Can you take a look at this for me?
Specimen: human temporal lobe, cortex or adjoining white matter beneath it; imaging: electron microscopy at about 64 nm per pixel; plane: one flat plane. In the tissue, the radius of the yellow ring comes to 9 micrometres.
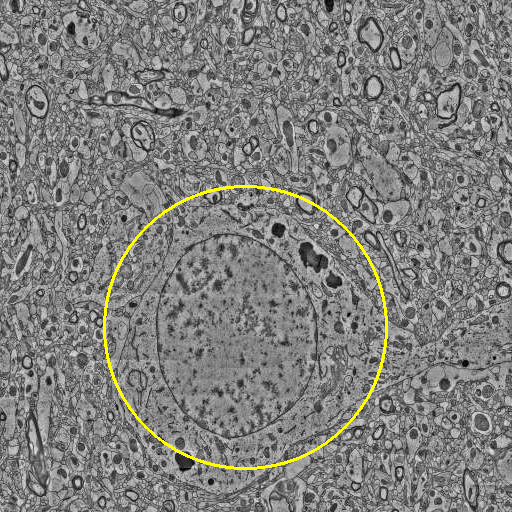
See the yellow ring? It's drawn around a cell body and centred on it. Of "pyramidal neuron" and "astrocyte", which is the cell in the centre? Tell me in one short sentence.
The one in the centre is a pyramidal neuron.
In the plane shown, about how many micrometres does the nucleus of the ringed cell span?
Approximately 13 x 10 micrometres in this plane.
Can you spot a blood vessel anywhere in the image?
No, the picture includes no blood vessel.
